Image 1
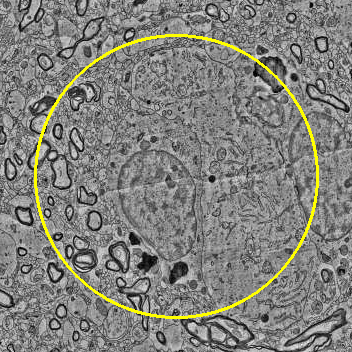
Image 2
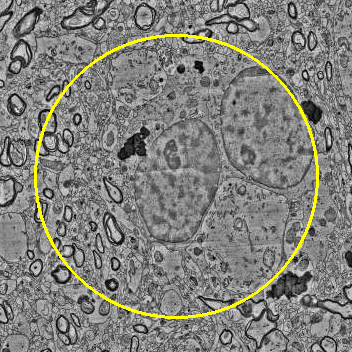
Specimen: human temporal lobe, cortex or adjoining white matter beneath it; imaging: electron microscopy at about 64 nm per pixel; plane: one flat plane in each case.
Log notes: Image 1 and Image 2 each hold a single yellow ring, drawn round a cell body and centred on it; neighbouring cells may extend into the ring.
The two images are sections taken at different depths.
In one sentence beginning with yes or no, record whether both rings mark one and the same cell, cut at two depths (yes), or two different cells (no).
Yes, one and the same cell lies under both rings.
